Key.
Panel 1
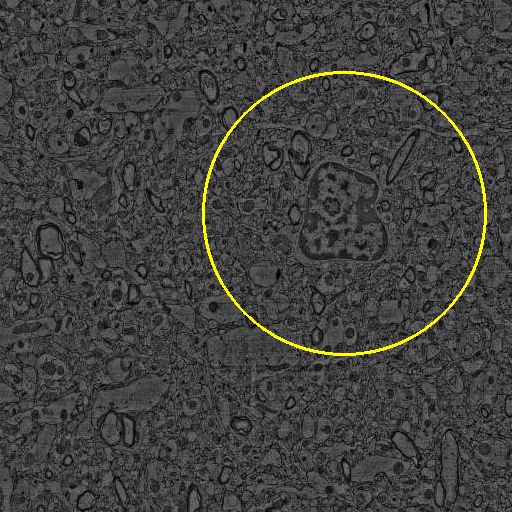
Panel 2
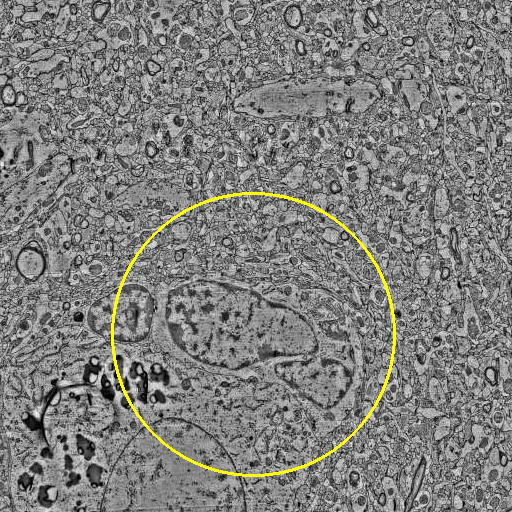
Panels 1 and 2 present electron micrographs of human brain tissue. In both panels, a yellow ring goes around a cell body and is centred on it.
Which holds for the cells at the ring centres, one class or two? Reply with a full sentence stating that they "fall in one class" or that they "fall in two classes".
Taken together, the ring-centre cells of the two panels fall in one class.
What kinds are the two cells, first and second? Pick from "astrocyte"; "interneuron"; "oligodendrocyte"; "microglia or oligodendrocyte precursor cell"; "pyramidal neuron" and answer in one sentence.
The first and the second cell are each a microglial cell or oligodendrocyte precursor cell.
